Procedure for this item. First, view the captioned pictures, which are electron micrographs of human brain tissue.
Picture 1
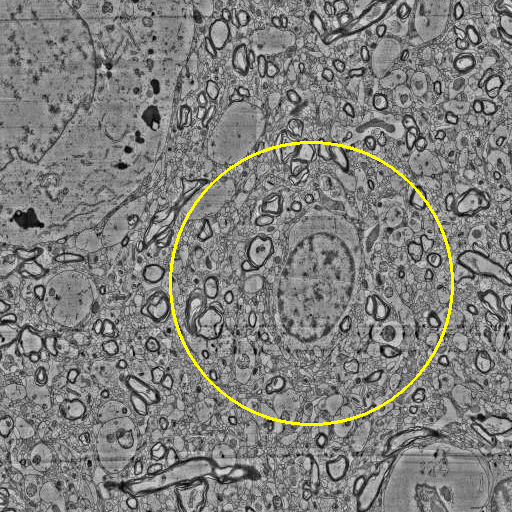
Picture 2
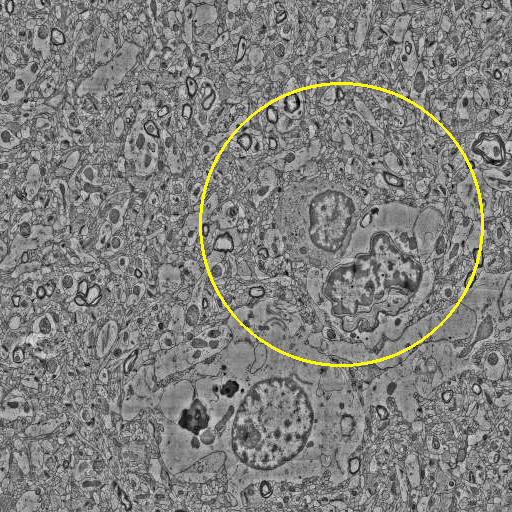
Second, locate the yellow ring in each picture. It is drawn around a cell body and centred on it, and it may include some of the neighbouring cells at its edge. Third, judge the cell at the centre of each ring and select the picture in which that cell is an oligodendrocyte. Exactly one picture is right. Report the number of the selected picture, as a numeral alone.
2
